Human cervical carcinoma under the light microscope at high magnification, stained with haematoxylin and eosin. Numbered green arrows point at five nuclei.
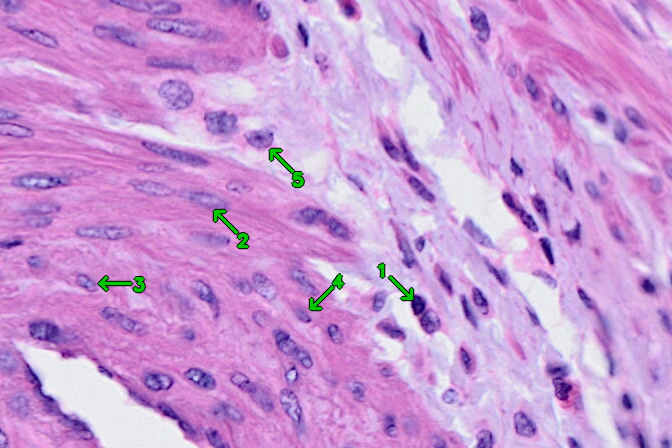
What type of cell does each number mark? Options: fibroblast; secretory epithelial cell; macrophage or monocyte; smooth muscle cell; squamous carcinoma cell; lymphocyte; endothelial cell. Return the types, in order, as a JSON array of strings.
["lymphocyte", "smooth muscle cell", "smooth muscle cell", "smooth muscle cell", "macrophage or monocyte"]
